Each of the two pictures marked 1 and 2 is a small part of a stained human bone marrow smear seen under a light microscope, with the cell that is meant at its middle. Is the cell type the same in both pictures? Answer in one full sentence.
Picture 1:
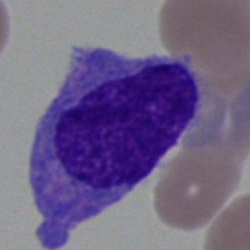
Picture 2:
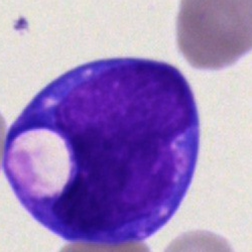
Yes, the two pictures both show blasts.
